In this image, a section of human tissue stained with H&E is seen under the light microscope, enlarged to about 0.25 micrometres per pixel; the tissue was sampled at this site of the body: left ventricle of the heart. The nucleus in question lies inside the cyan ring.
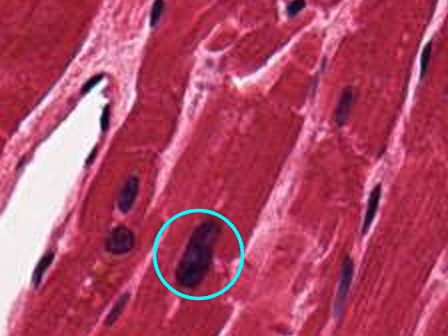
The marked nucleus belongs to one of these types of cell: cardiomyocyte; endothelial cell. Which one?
cardiomyocyte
